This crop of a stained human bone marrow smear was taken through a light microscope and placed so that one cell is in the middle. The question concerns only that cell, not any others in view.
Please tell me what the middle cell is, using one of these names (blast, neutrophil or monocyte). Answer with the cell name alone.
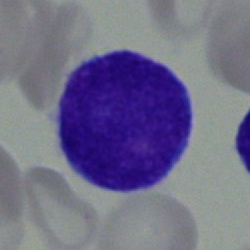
blast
